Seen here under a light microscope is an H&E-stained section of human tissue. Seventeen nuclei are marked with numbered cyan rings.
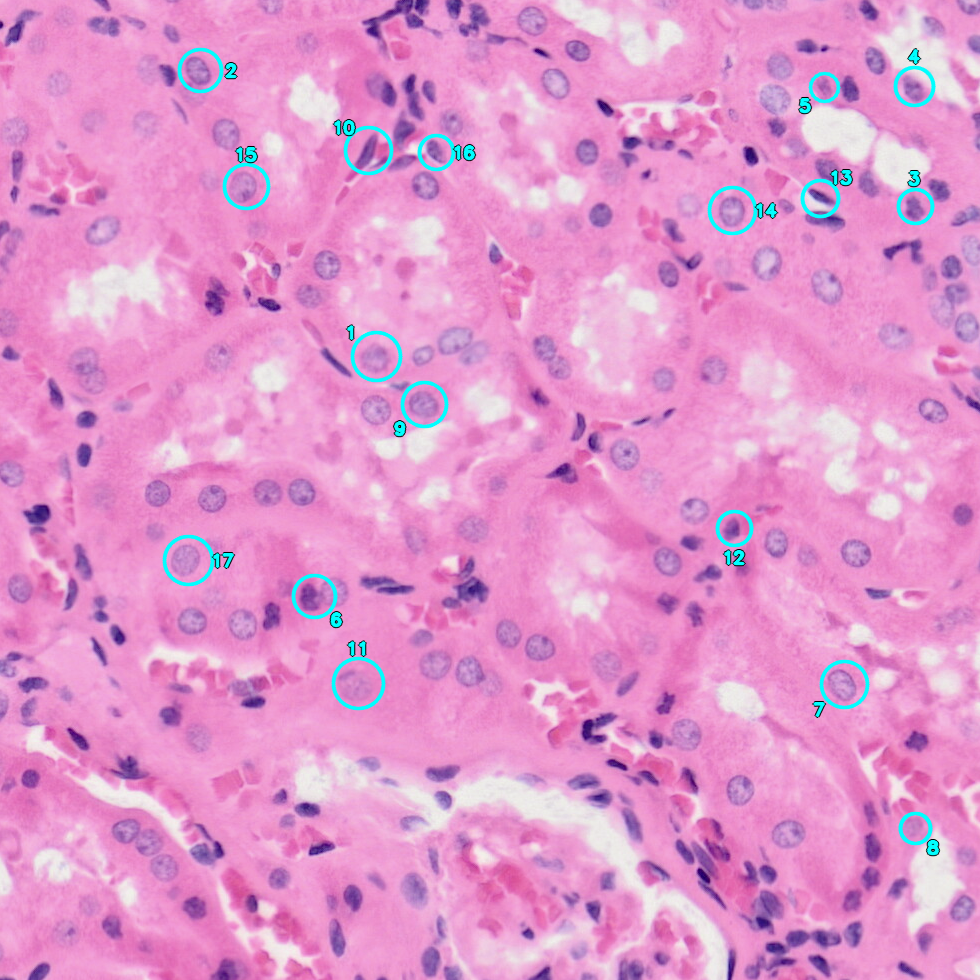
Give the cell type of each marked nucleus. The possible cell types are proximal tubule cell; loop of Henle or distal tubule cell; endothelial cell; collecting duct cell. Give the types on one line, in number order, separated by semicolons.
proximal tubule cell; proximal tubule cell; loop of Henle or distal tubule cell; loop of Henle or distal tubule cell; loop of Henle or distal tubule cell; proximal tubule cell; proximal tubule cell; loop of Henle or distal tubule cell; proximal tubule cell; endothelial cell; proximal tubule cell; endothelial cell; endothelial cell; proximal tubule cell; proximal tubule cell; endothelial cell; proximal tubule cell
